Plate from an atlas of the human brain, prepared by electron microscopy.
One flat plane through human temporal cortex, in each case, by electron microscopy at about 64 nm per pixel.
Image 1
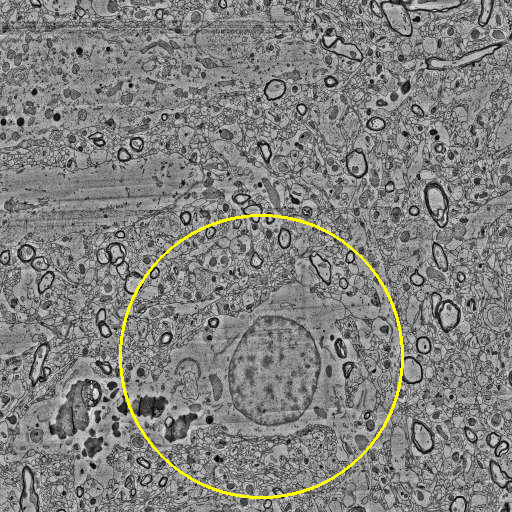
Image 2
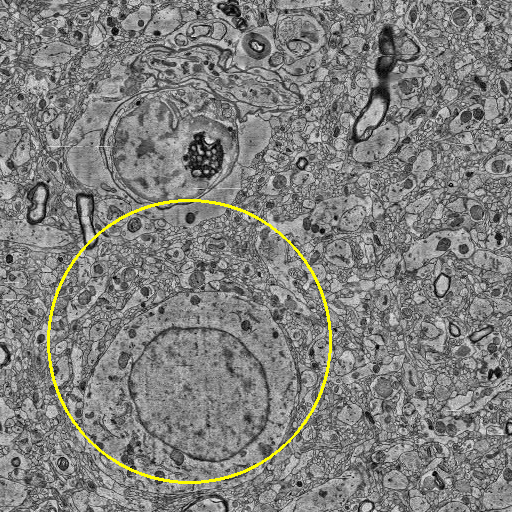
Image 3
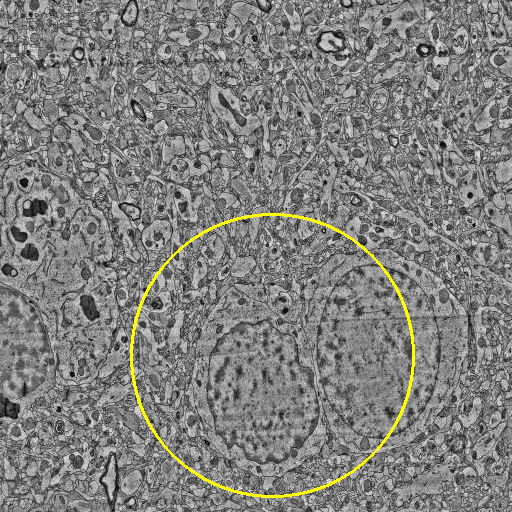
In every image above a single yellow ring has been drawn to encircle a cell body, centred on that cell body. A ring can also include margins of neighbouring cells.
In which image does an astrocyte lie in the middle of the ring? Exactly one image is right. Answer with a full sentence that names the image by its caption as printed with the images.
Image 1 holds the requested cell at the very centre of its ring.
